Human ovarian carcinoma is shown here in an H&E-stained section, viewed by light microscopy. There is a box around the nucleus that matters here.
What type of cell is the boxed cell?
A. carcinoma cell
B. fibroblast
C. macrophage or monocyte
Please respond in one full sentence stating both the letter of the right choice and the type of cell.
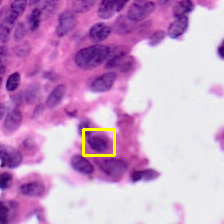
Option A is the right choice, for the boxed cell is a carcinoma cell.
